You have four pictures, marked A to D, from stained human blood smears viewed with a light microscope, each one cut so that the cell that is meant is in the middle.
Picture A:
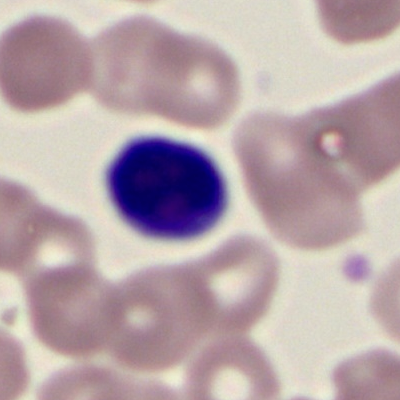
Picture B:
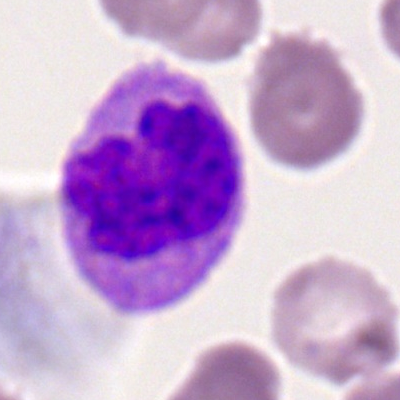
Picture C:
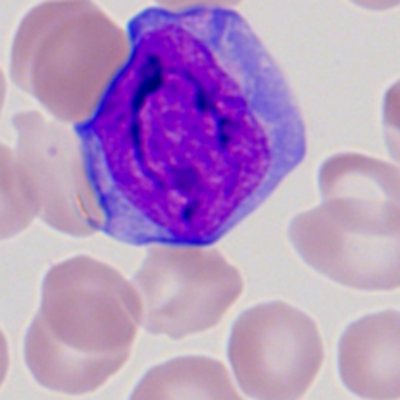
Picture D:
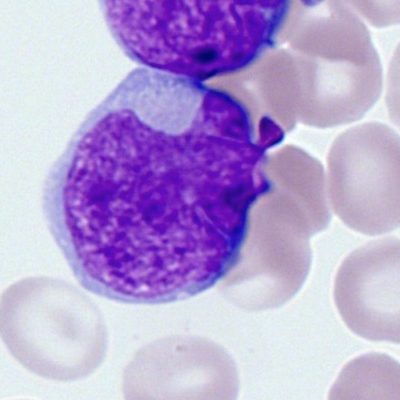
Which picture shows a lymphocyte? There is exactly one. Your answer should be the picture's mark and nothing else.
A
